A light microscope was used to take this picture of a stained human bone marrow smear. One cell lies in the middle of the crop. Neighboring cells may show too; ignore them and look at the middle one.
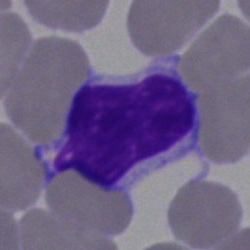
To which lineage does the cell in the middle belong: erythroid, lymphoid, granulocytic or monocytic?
lymphoid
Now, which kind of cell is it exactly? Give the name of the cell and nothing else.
lymphocyte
